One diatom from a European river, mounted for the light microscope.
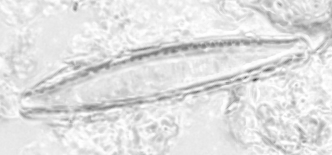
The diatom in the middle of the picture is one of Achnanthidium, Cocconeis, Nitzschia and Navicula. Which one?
Nitzschia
